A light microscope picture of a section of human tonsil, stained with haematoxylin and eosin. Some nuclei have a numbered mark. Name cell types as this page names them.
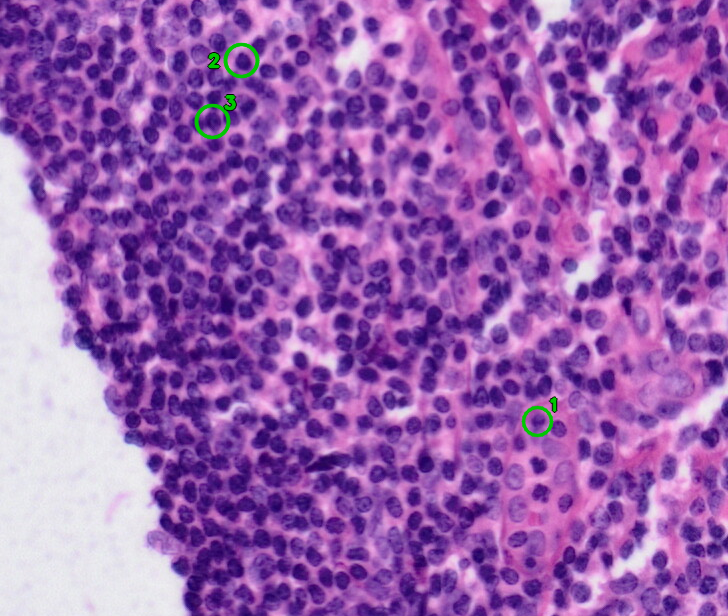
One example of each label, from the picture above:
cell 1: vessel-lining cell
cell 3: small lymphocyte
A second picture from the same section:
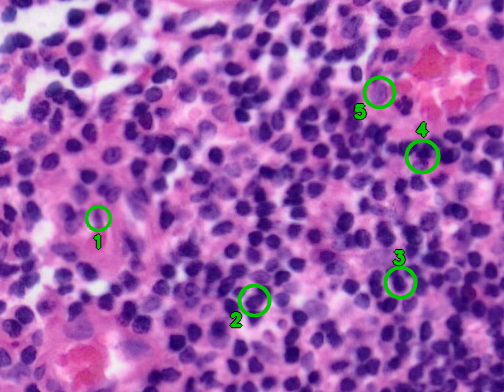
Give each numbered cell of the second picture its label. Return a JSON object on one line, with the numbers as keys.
{"1": "vessel-lining cell", "2": "small lymphocyte", "3": "small lymphocyte", "4": "small lymphocyte", "5": "vessel-lining cell"}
